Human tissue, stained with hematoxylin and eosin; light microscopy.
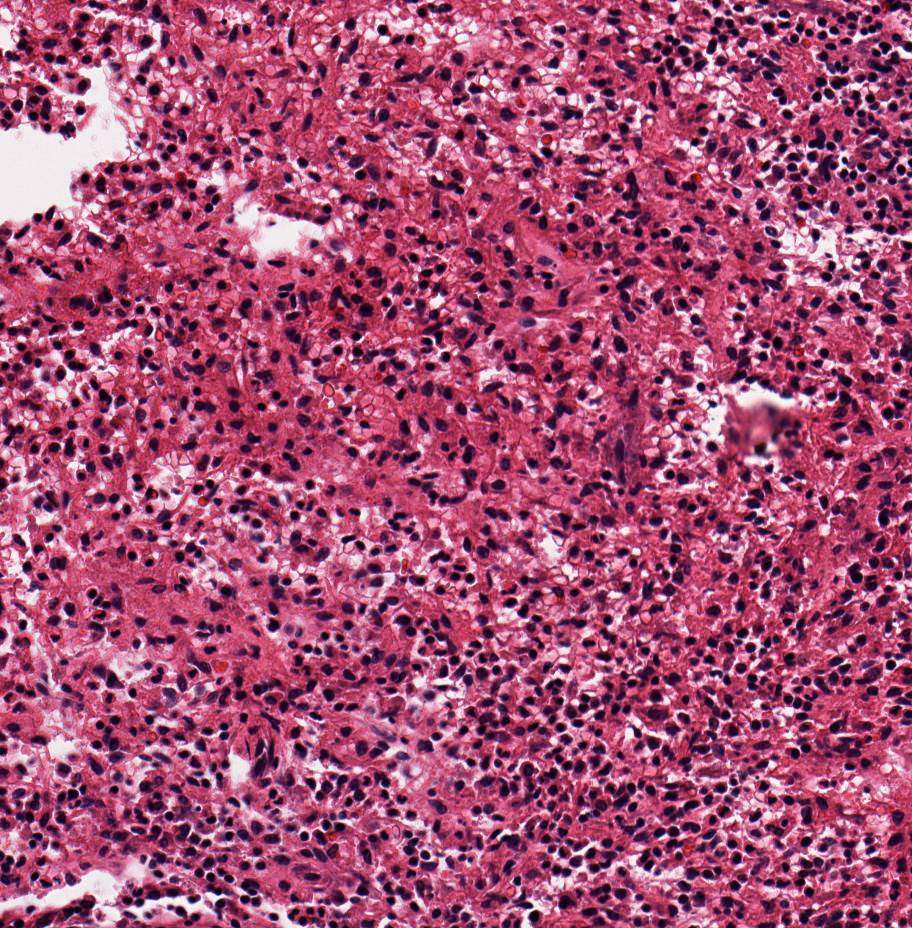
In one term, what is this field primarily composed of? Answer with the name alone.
red pulp of the spleen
